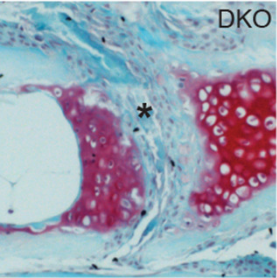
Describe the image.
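Two cartilage elements made of large rounded chondrocytes in red-stained matrix face each other across a joint. Instead of an open cleft, the gap between them is filled with pale, fibrous material holding few nuclei. This is acellular matrix accumulating in the joint cavity.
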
